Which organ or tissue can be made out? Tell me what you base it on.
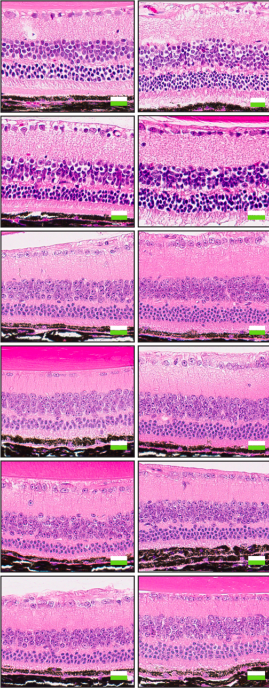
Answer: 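Stacked layers of densely packed round purple nuclei. A black pigmented band runs along the bottom of each field. Pink-stained layers lie between the nuclear layers. So: retinas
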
